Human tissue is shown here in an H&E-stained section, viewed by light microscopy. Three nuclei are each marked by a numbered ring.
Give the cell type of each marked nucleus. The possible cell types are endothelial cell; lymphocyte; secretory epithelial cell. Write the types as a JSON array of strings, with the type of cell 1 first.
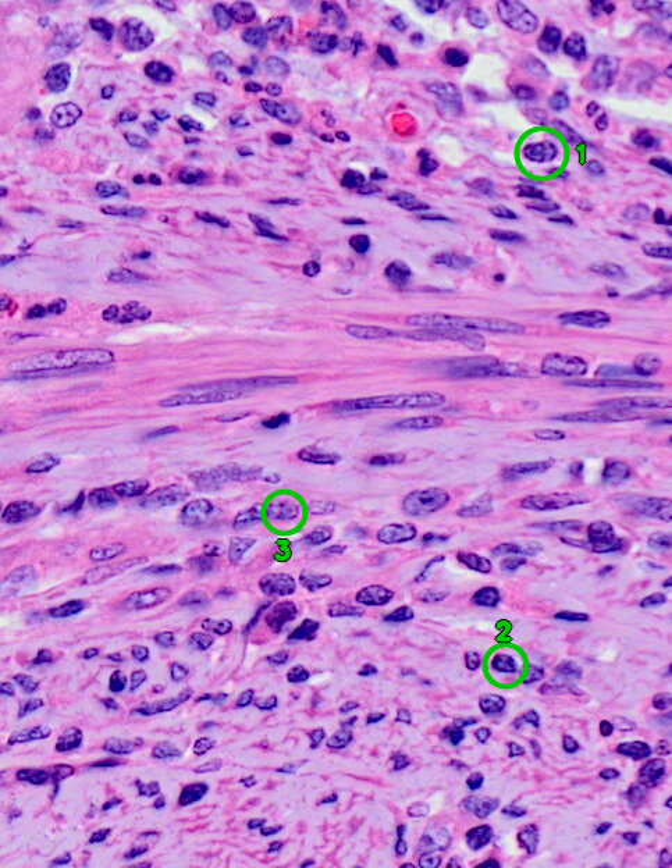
["lymphocyte", "lymphocyte", "endothelial cell"]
